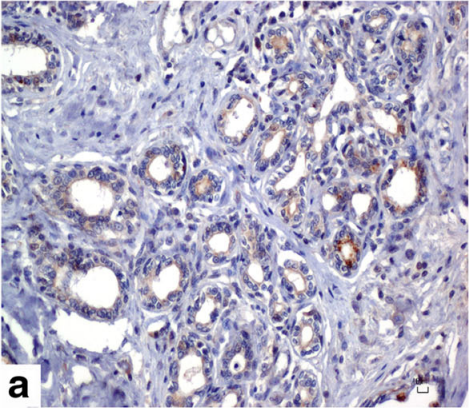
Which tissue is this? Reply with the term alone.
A: Normal mammary gland.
